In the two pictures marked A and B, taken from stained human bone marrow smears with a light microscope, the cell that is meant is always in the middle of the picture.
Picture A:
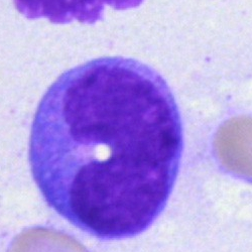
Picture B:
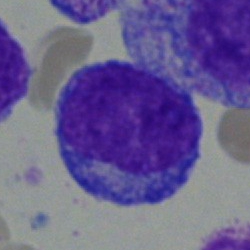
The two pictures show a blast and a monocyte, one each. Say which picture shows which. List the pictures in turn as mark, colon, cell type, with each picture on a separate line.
A: monocyte
B: blast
